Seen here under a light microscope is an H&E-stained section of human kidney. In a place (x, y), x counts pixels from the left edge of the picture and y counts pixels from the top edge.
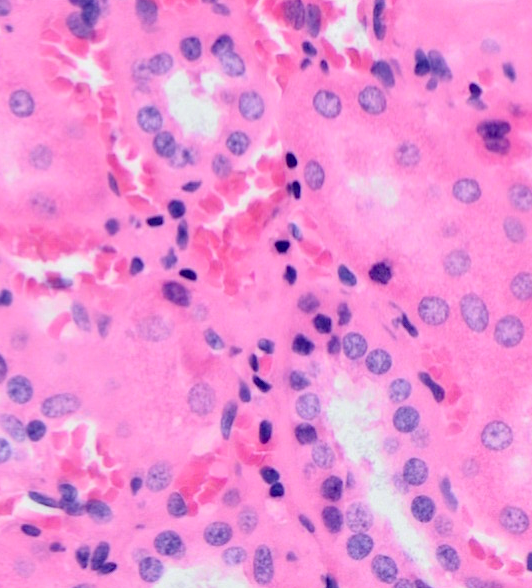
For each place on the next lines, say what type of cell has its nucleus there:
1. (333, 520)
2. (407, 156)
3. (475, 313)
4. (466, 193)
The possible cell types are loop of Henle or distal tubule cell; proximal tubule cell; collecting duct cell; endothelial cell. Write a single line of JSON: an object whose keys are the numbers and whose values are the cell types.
{"1": "collecting duct cell", "2": "proximal tubule cell", "3": "proximal tubule cell", "4": "proximal tubule cell"}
